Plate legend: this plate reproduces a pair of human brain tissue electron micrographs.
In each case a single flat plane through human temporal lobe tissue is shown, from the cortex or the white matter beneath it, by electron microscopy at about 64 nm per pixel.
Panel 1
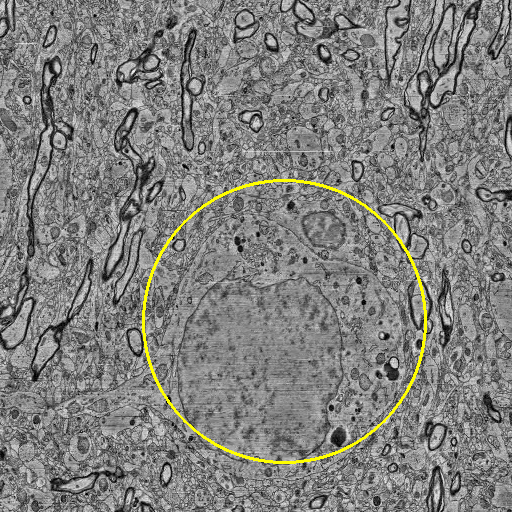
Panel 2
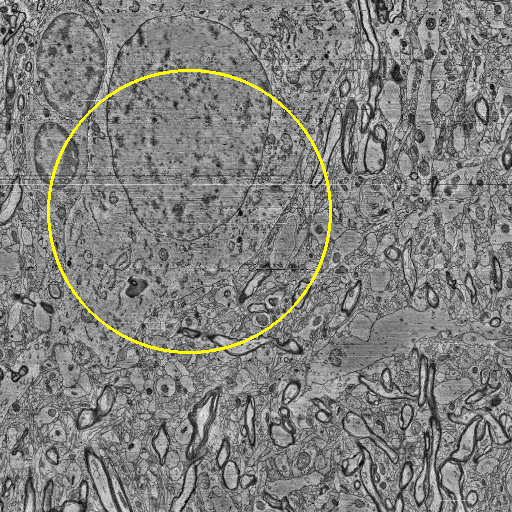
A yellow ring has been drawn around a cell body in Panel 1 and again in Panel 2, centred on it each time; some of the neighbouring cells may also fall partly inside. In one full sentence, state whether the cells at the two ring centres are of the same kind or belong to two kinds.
The ring-centred cells of Panel 1 and Panel 2 are of the same kind.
